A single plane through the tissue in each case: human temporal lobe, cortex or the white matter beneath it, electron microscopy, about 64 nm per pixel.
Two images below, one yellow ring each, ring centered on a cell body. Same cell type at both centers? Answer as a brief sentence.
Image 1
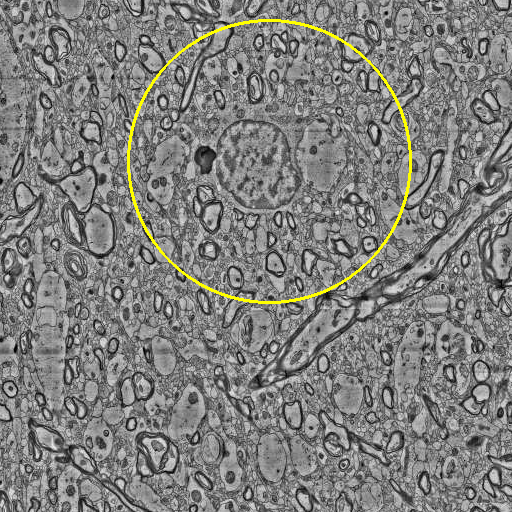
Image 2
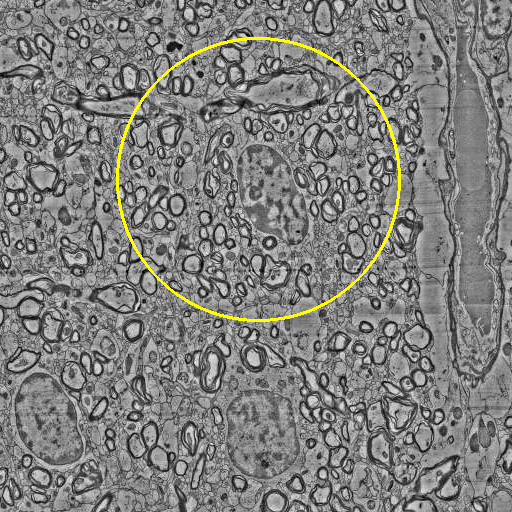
No, the cells are of two separate types.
